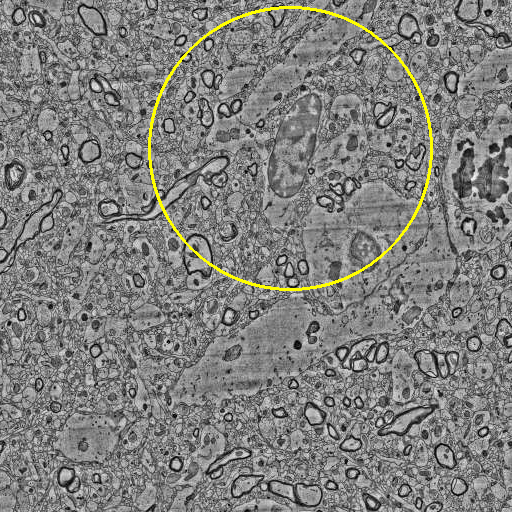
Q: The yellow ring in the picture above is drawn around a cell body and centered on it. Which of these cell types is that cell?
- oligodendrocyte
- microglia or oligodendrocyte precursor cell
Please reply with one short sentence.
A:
The cell body at the ring's center belongs to a microglial cell or oligodendrocyte precursor cell.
